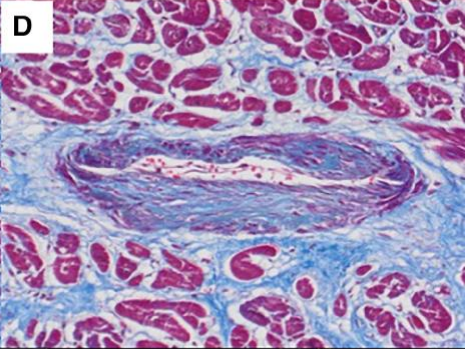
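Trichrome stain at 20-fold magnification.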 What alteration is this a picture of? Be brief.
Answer: arteriolar fibroplasia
